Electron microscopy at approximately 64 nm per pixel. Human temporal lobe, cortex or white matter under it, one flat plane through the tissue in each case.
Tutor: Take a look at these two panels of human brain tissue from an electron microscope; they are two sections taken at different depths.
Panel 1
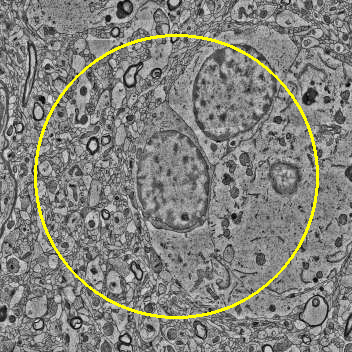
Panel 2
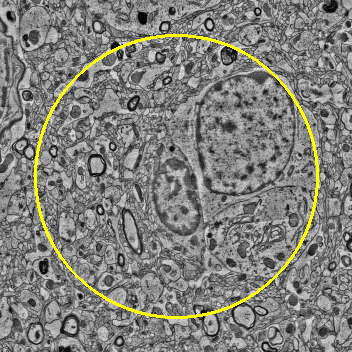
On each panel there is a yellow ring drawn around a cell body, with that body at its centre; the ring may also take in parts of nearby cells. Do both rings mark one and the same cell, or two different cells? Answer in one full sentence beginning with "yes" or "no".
Yes, the cell inside the first ring is the cell inside the second.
